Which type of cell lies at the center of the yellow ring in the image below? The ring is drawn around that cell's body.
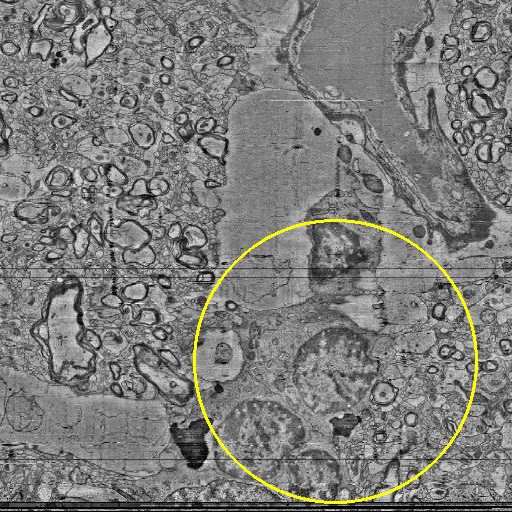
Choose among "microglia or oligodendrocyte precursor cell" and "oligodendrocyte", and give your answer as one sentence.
The cell body at the center belongs to an oligodendrocyte.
